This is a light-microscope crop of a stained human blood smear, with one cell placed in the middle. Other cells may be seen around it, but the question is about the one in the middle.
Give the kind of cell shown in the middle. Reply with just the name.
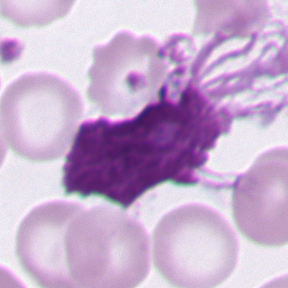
smudge cell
